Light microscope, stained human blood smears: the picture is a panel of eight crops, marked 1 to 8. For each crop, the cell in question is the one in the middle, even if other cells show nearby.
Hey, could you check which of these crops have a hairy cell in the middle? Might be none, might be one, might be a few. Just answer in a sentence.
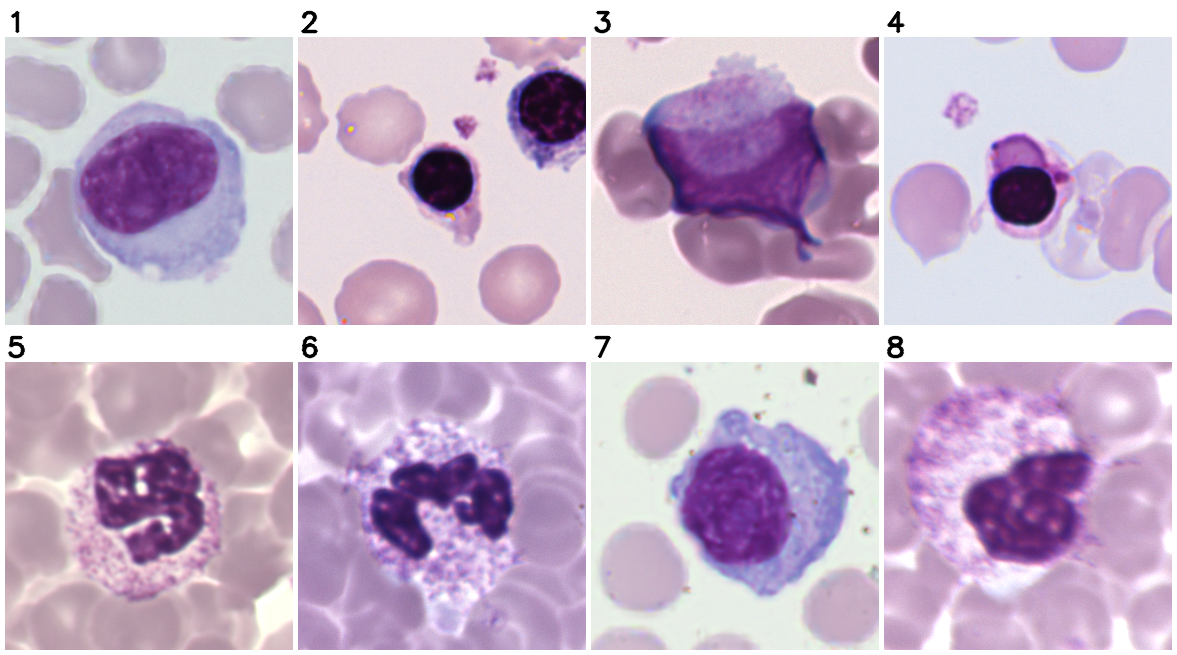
The crops, without exception, do not depict a hairy cell.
